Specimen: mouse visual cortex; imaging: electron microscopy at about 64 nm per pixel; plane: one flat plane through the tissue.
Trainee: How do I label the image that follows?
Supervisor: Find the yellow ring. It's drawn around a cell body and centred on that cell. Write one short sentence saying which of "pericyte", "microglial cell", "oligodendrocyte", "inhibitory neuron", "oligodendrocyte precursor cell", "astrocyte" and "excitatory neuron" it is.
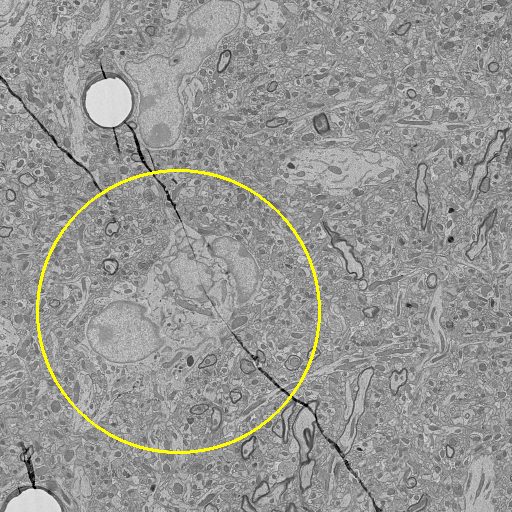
This is the cell body of an oligodendrocyte precursor cell.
